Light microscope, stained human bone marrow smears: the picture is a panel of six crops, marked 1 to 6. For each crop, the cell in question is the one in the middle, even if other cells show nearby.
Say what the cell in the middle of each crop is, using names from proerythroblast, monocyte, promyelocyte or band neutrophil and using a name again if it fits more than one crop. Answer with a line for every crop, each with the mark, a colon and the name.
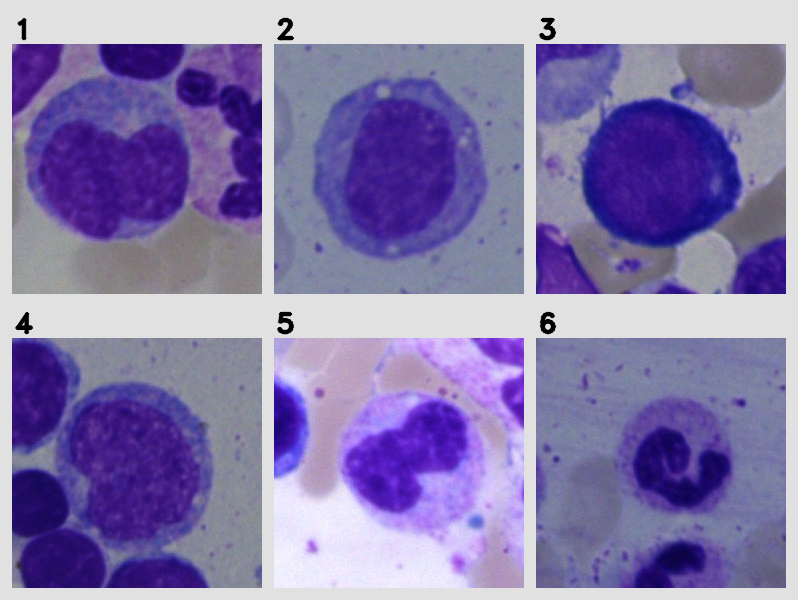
1: monocyte
2: monocyte
3: proerythroblast
4: monocyte
5: monocyte
6: band neutrophil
